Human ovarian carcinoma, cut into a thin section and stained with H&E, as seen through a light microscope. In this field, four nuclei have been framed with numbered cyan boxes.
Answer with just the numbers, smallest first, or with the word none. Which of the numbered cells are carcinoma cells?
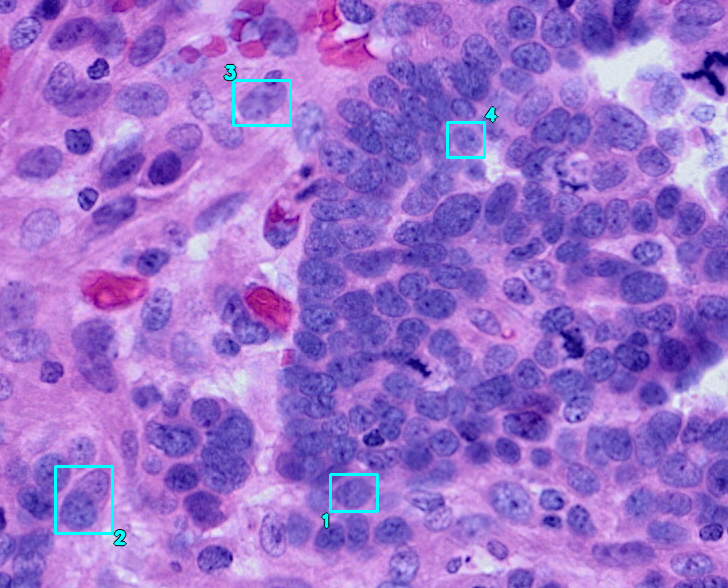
1, 2, 4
